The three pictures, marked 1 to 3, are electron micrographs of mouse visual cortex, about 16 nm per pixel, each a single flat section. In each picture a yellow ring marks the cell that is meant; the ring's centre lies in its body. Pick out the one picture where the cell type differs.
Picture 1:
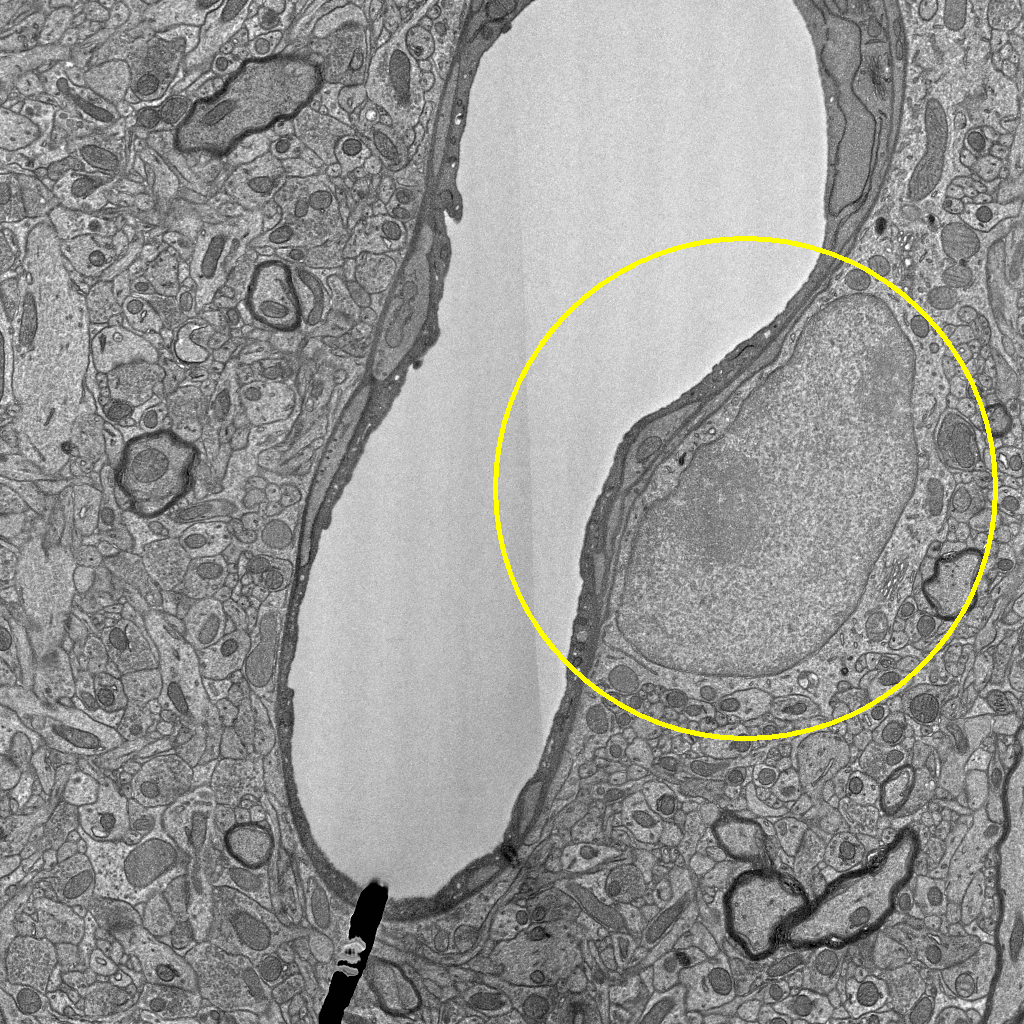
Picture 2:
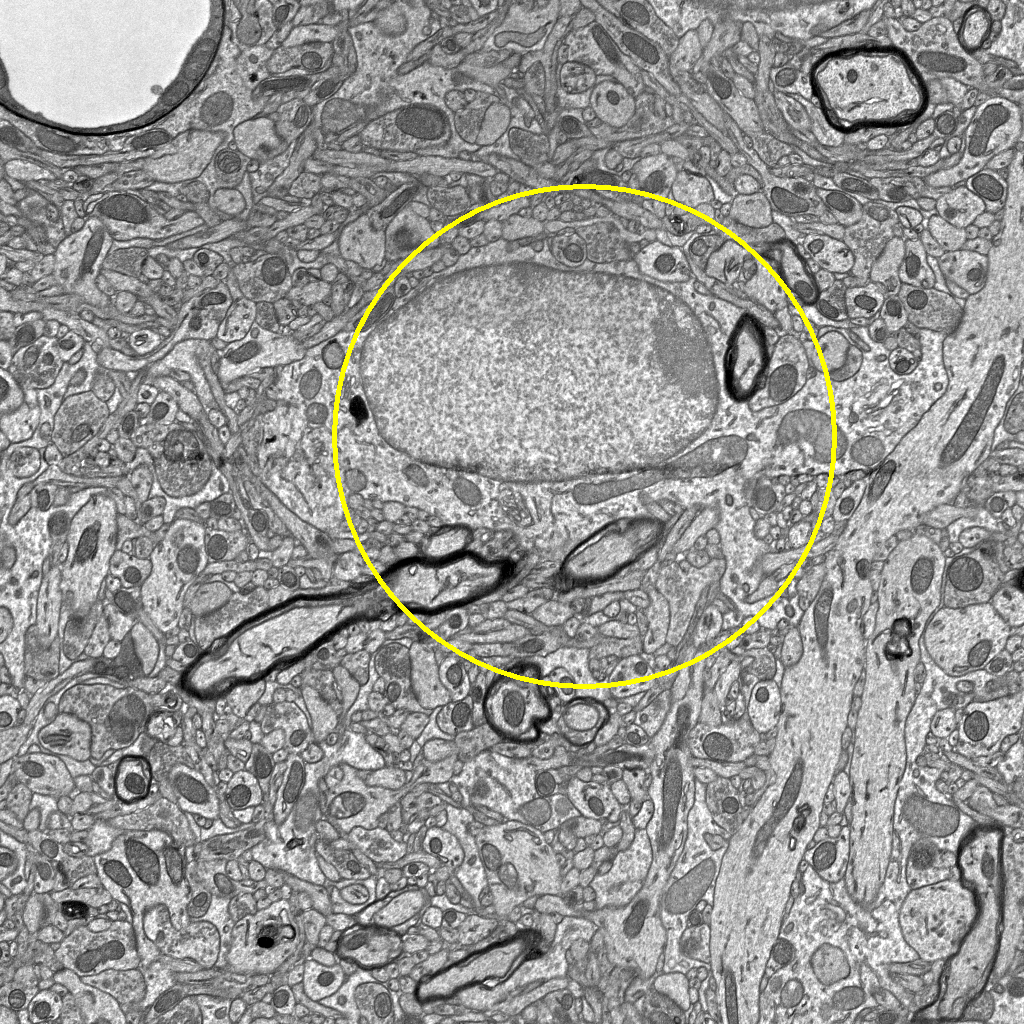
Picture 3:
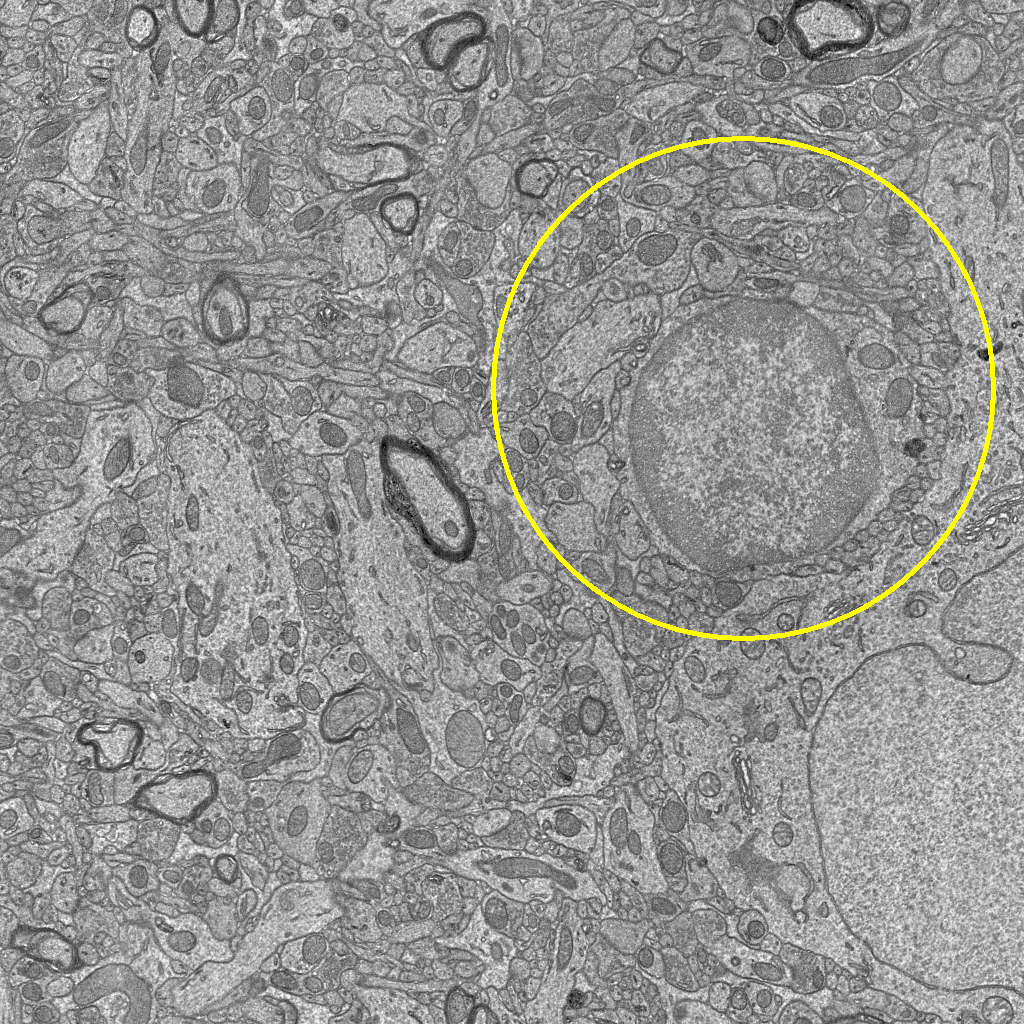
Unlike the rest, which show astrocytes, picture 3 shows an oligodendrocyte.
